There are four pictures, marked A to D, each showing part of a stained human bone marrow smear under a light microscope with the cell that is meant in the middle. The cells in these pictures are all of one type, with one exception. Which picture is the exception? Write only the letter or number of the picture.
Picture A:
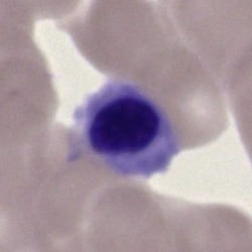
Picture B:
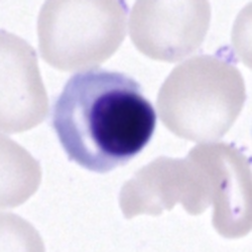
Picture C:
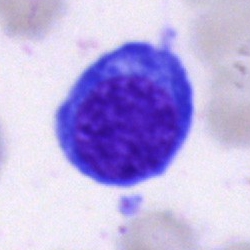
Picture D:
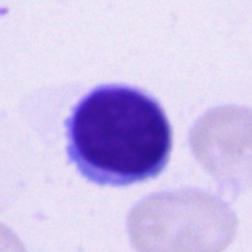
D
